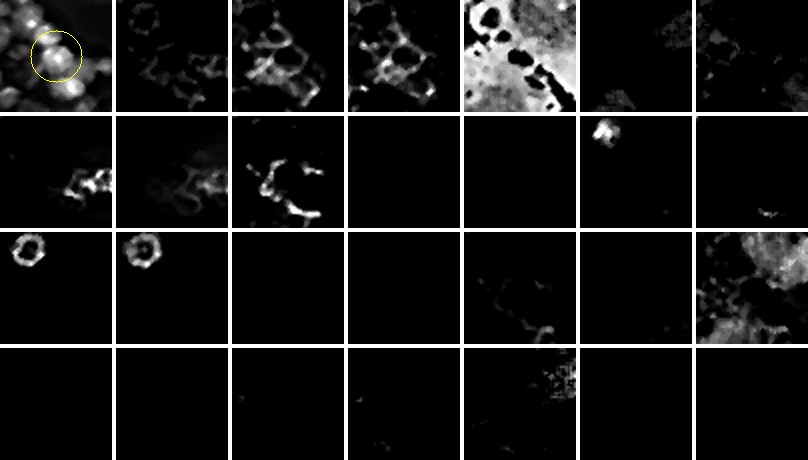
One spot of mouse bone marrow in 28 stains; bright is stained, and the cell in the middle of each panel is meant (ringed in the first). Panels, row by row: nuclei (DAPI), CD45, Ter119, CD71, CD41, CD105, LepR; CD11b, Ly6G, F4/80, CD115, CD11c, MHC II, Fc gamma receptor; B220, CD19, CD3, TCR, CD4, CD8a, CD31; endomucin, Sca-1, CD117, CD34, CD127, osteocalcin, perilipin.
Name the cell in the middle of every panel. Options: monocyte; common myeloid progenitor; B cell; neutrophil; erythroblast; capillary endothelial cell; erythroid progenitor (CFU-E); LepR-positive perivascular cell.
erythroblast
